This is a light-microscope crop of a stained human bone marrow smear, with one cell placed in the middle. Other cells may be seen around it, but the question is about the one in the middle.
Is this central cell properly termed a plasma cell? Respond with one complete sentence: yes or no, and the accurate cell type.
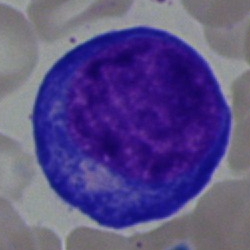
No, the cell placed at the center is a proerythroblast rather than a plasma cell.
